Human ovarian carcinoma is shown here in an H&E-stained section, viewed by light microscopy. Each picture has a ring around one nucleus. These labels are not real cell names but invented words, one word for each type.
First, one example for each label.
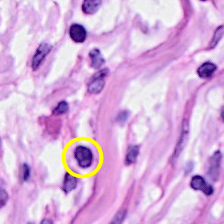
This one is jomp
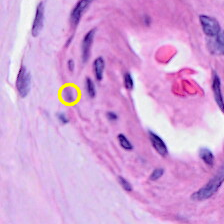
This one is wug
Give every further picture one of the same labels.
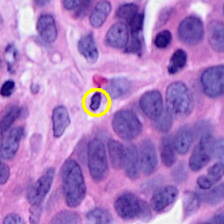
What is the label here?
jomp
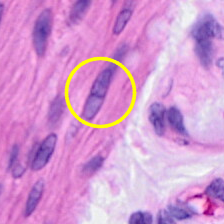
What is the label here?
wug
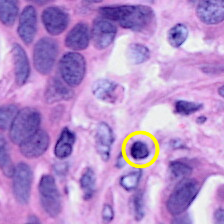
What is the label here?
jomp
